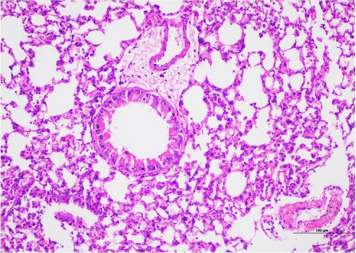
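Lung tissue with alveolar spaces whose septa look thicker and more crowded with purple nuclei than in thin-walled lung. A bronchiole in the centre has an open lumen lined by pink epithelium, next to a vessel surrounded by loose pale pink tissue. Some air spaces are narrowed by the crowded septa.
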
